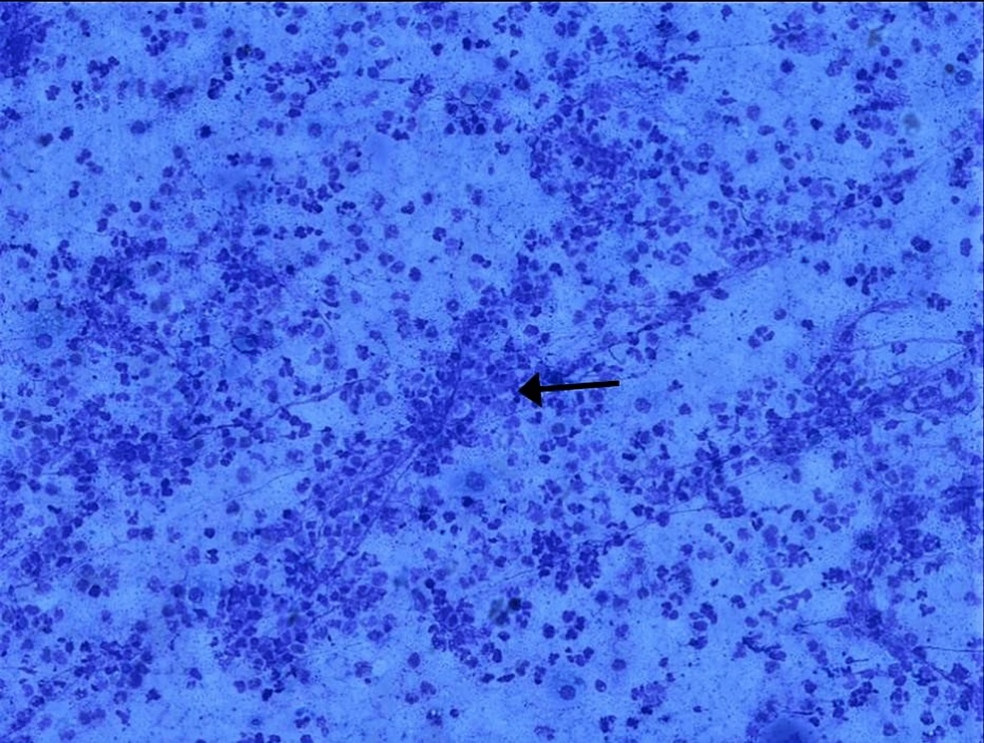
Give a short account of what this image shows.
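This smear is dominated by a dense infiltrate of acute inflammatory cells, mostly neutrophils. They show as small cells with dark blue-purple, lobed nuclei, scattered singly and heaped into clusters across a pale blue background. Thin wavy strands cross the field, and cells gather along them in places. Here and there a larger cell with a rounder, paler nucleus stands among the neutrophils.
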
